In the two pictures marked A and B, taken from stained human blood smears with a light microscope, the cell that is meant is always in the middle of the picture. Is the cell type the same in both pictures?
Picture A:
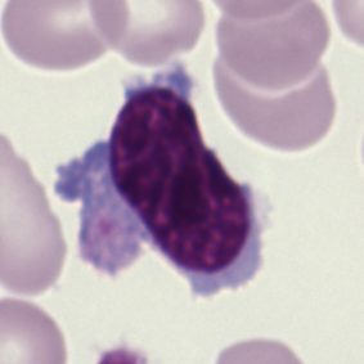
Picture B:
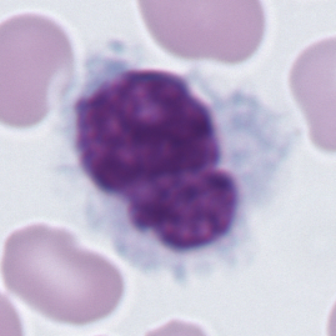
no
